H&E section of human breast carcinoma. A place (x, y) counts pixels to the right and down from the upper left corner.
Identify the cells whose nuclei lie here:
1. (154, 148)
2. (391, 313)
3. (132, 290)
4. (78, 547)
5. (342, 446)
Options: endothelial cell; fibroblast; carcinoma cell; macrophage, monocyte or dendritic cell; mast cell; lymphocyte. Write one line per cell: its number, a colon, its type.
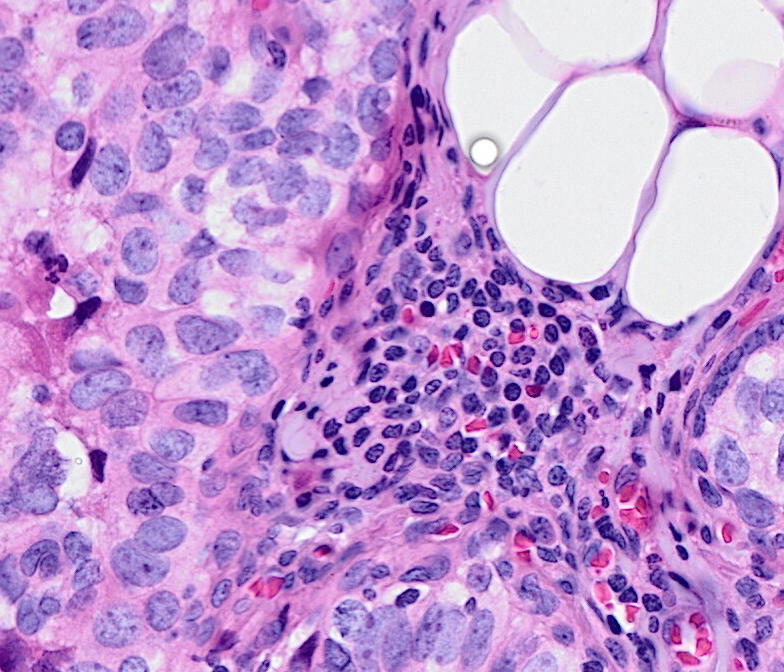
1: carcinoma cell
2: lymphocyte
3: carcinoma cell
4: carcinoma cell
5: lymphocyte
